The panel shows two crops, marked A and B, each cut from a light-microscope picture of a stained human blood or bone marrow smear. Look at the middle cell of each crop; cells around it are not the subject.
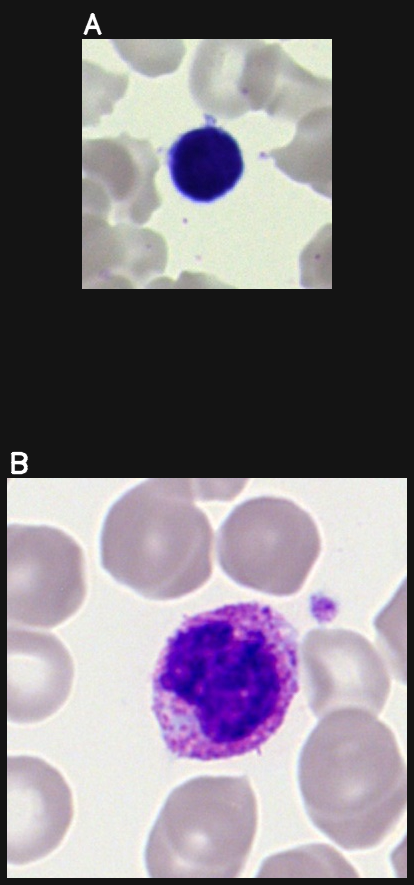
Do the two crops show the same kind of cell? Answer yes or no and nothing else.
no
